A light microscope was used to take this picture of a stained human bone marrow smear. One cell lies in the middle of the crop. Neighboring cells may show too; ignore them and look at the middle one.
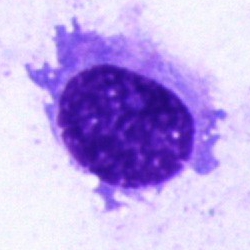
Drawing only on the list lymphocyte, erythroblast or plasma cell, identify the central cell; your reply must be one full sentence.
The crop centres on a single cell, and that cell is a plasma cell.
